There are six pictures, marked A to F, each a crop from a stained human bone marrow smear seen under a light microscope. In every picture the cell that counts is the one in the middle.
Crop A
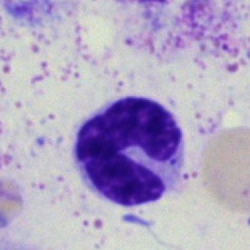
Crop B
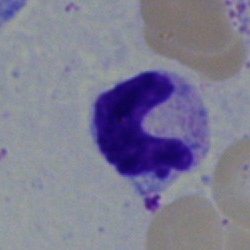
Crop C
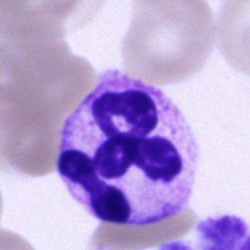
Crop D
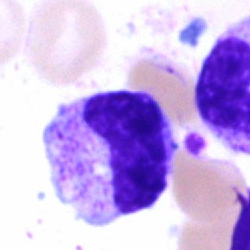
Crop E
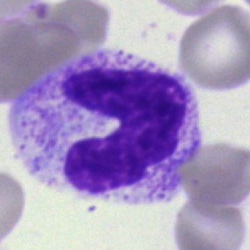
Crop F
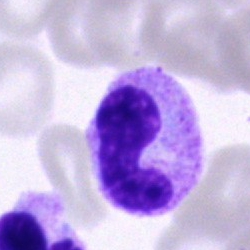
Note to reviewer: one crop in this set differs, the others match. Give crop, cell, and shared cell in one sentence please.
Where the others show band neutrophils, crop C shows a segmented neutrophil.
